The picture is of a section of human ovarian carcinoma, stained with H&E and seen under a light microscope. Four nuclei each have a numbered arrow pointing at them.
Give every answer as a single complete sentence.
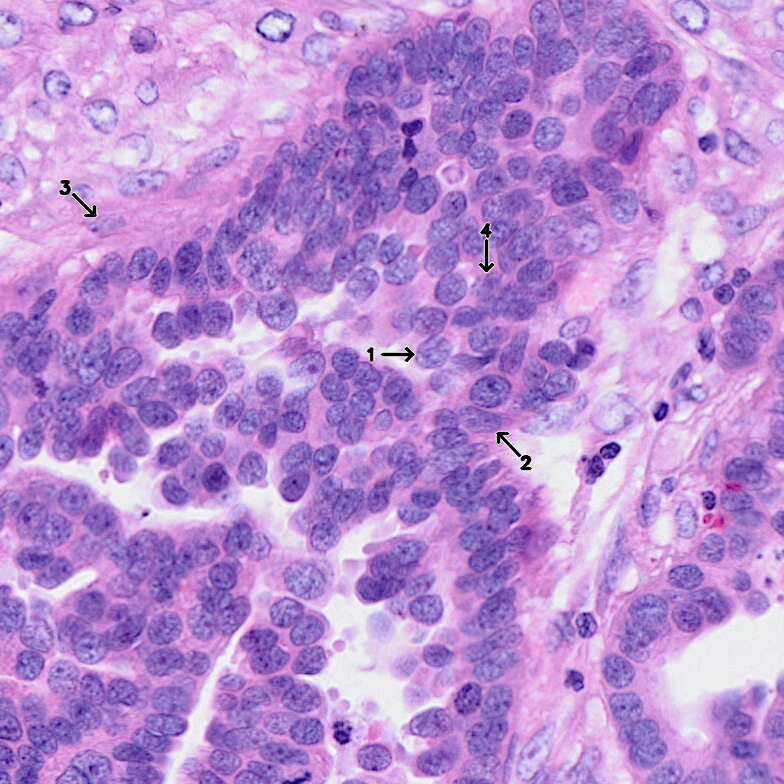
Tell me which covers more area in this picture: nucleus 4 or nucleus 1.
Number 1 is larger; its area is about 2 times that of number 4.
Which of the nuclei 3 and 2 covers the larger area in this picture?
At about 1.5 times the area of nucleus 3, nucleus 2 is the larger of the two.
